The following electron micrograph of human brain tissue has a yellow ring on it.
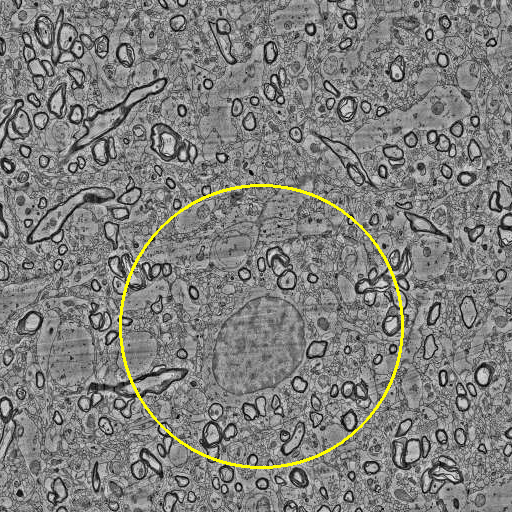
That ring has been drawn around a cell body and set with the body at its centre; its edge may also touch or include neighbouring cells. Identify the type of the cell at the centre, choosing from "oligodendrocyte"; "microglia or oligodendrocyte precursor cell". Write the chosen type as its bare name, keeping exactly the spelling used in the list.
oligodendrocyte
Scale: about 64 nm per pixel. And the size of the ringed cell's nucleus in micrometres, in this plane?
Approximately 7 by 6 micrometers in this plane.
